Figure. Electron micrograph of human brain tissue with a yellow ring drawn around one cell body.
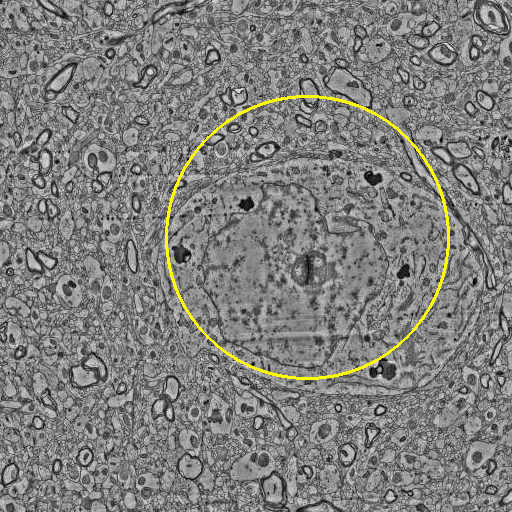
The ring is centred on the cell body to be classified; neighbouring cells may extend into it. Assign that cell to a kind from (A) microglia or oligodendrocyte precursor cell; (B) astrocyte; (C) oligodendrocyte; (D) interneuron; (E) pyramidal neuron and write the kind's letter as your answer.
D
